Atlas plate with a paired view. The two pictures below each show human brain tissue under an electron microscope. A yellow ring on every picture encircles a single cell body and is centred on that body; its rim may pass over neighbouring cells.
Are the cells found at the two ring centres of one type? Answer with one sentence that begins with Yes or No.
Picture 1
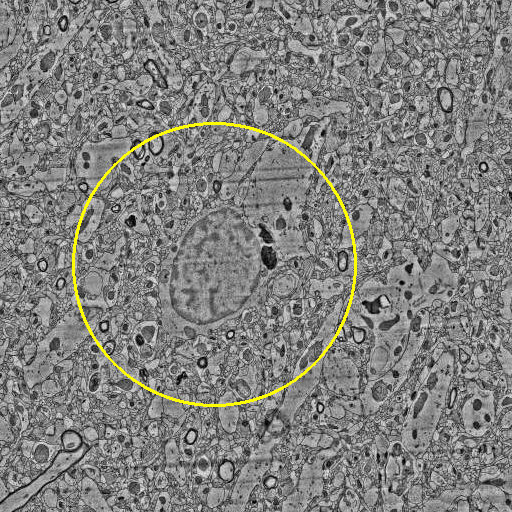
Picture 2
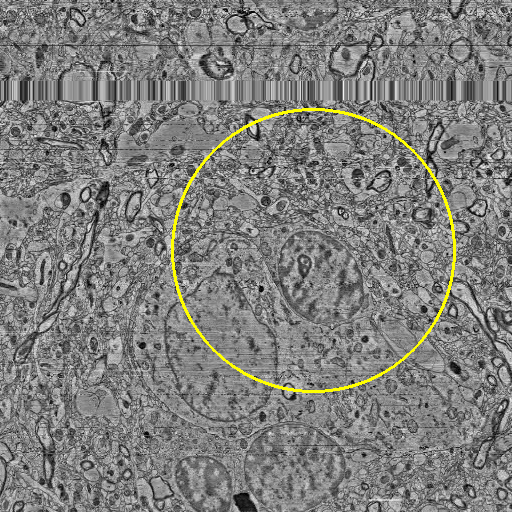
Yes, the two cells lying at the centres of the rings share a single type.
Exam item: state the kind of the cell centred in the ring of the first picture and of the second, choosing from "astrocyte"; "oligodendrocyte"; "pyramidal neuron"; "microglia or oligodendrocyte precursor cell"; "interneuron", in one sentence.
Each cell at the centre of a ring is an oligodendrocyte.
